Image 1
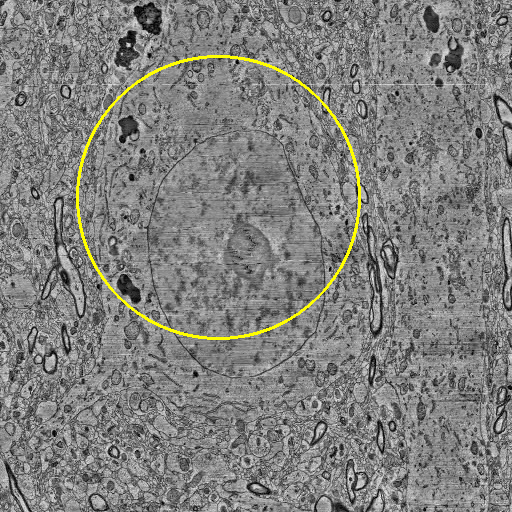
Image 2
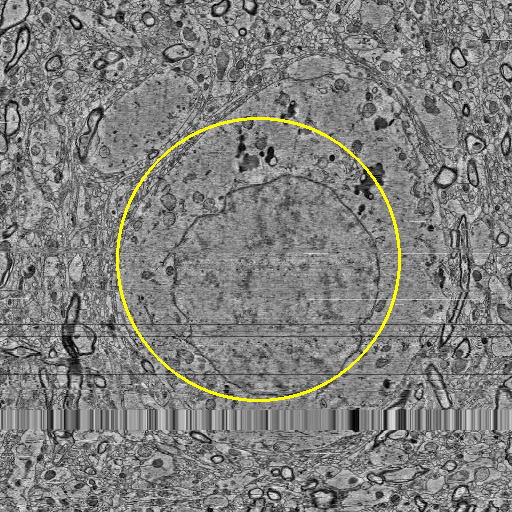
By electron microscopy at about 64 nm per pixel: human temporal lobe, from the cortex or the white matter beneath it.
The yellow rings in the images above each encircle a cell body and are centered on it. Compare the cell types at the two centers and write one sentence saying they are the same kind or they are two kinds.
Taken together, the two cells at the ring centers are the same kind.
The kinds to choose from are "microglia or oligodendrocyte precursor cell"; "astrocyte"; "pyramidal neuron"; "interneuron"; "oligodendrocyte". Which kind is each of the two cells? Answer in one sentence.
The ring centre holds a pyramidal neuron in each of the two pictures.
